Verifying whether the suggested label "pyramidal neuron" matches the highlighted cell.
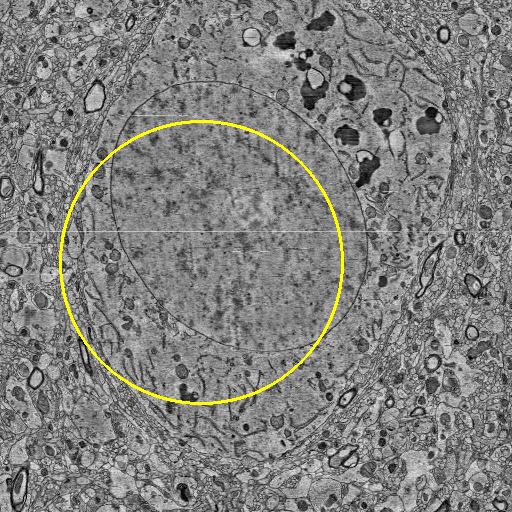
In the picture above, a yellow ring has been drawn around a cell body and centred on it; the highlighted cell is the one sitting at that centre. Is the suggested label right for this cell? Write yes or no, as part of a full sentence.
Yes, the suggested label is right for the cell centred in the yellow ring.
